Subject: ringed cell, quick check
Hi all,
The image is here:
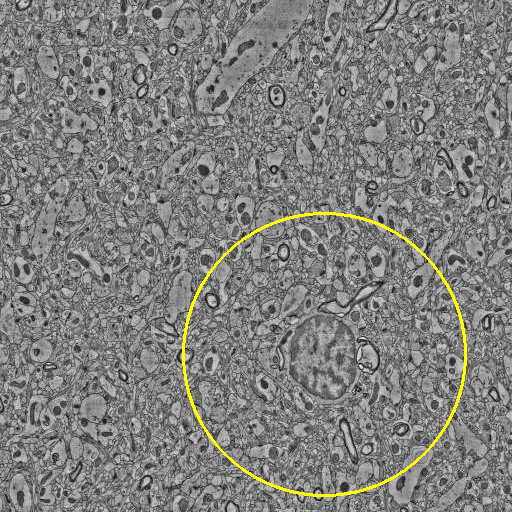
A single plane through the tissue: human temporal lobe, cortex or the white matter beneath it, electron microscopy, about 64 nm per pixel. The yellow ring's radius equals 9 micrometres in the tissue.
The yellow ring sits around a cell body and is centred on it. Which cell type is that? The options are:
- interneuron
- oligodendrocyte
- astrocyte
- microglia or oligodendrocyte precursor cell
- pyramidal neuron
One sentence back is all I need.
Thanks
That ringed cell is an oligodendrocyte.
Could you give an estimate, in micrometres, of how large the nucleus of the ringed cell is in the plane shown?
The nucleus of the ringed cell is approximately 6 by 4 micrometres in this plane.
